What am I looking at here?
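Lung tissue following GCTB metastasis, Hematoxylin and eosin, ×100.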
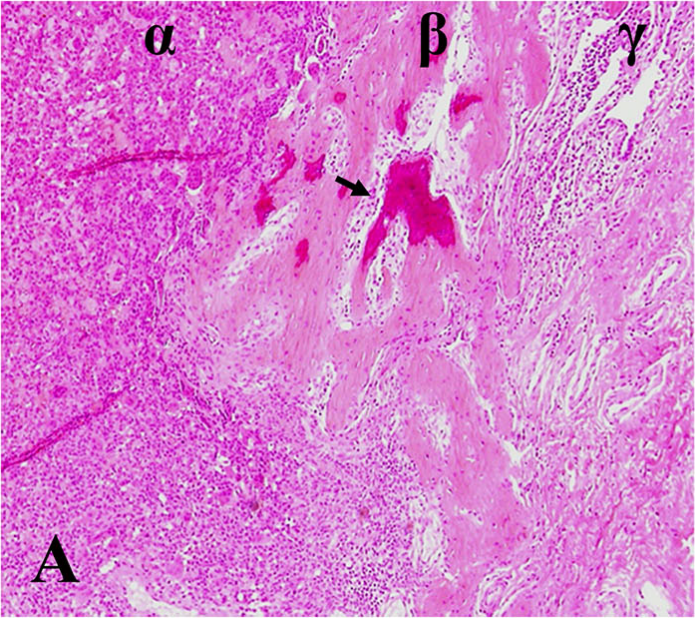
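At low power, three regions lie side by side. On the left is a dense sheet of tumour cells. In the middle, pale pink fibrous tissue holds bright magenta, irregular deposits of osteoid. On the right is looser tissue with streaks of cells and clear spaces.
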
